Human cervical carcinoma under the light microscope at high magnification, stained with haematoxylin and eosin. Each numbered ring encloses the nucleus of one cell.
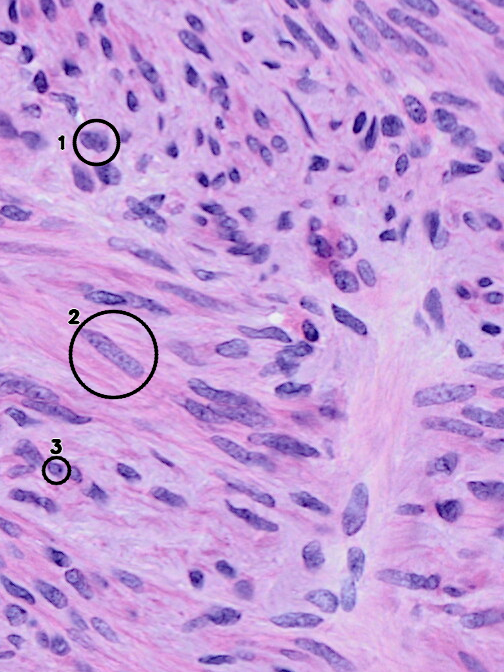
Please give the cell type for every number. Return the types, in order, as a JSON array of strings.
["fibroblast", "smooth muscle cell", "smooth muscle cell"]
